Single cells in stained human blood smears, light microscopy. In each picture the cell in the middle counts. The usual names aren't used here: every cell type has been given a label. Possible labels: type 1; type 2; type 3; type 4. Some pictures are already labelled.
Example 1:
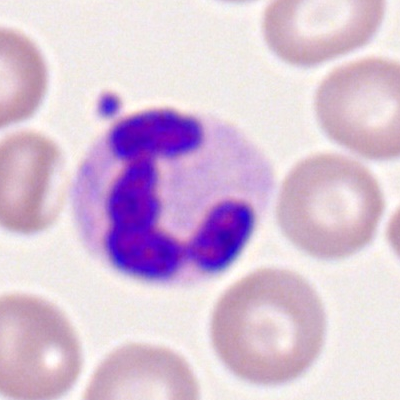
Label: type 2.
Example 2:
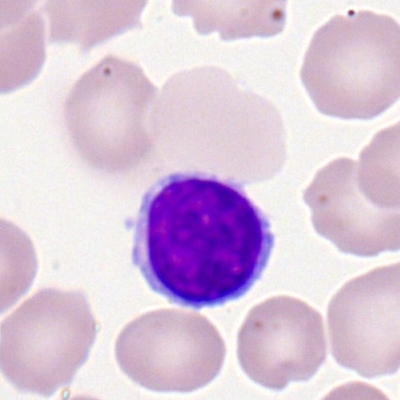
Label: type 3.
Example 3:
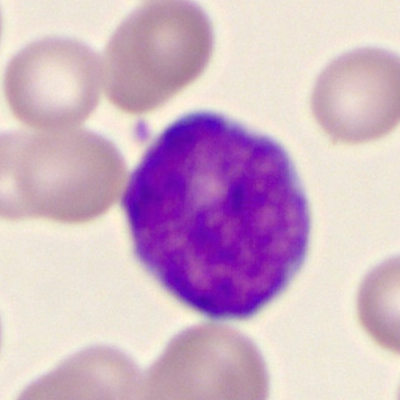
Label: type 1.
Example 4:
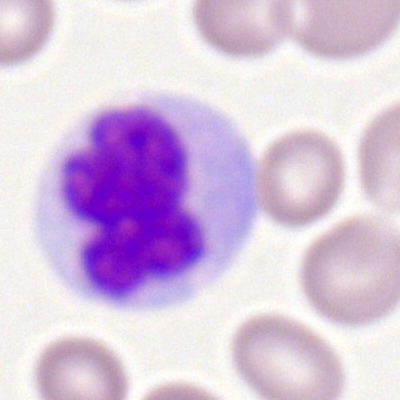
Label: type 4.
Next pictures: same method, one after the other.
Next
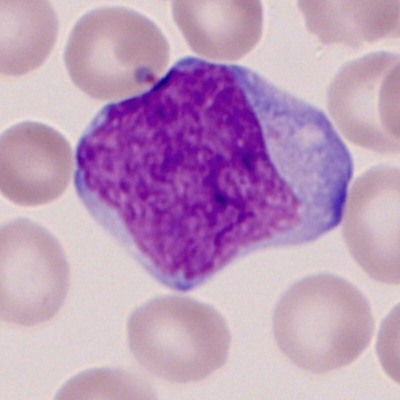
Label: type 1.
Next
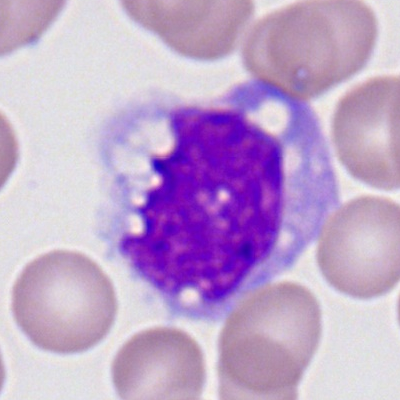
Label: type 4.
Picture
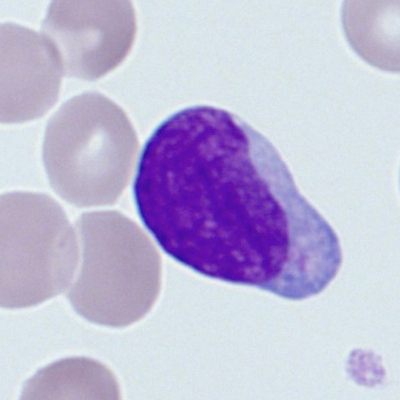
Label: type 1.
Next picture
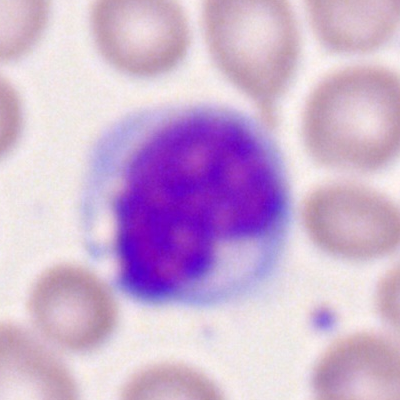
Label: type 4.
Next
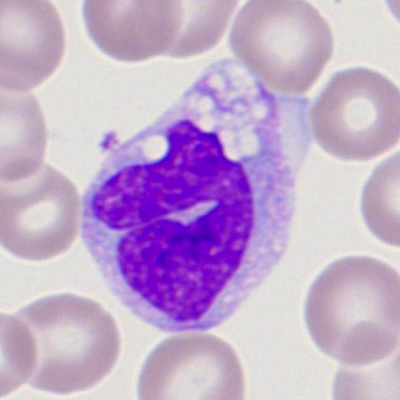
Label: type 4.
